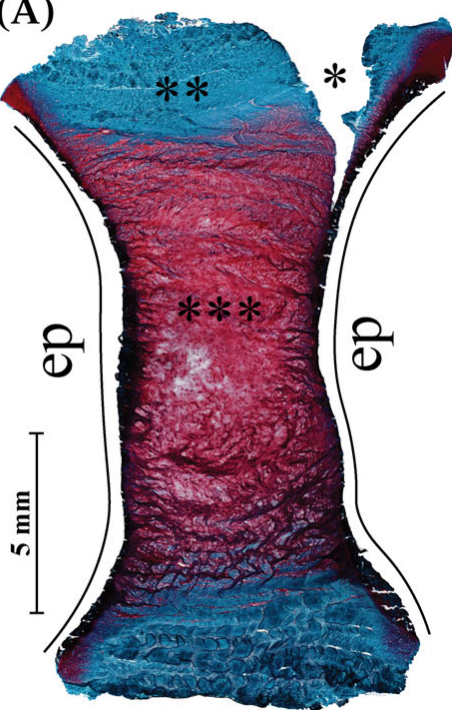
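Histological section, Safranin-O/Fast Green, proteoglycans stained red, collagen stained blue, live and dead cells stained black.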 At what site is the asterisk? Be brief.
Injury site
